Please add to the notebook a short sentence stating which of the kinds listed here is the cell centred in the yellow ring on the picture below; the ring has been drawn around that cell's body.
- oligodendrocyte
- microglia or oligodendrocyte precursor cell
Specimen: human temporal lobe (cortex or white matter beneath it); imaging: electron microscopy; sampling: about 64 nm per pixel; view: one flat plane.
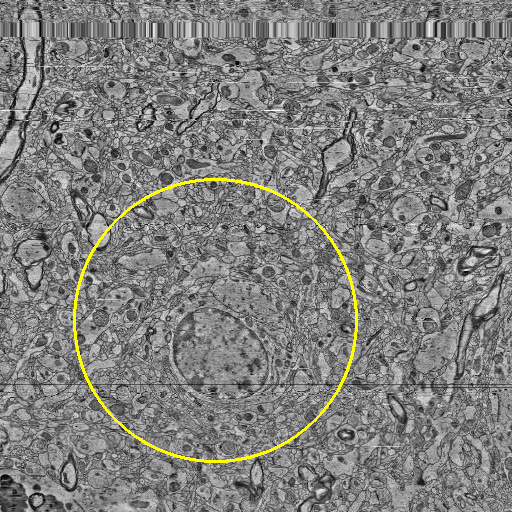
The cell centred in the yellow ring is a microglial cell or oligodendrocyte precursor cell.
